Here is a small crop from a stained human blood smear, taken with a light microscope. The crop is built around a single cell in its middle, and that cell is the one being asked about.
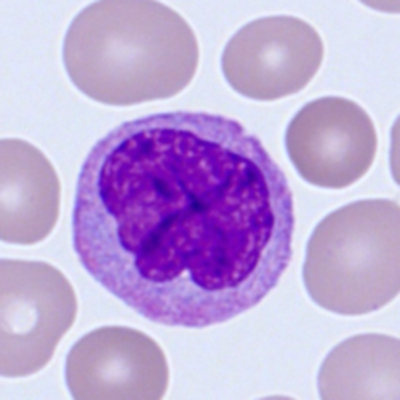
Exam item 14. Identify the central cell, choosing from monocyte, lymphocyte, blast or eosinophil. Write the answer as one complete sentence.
Centrally within this crop lies a monocyte.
